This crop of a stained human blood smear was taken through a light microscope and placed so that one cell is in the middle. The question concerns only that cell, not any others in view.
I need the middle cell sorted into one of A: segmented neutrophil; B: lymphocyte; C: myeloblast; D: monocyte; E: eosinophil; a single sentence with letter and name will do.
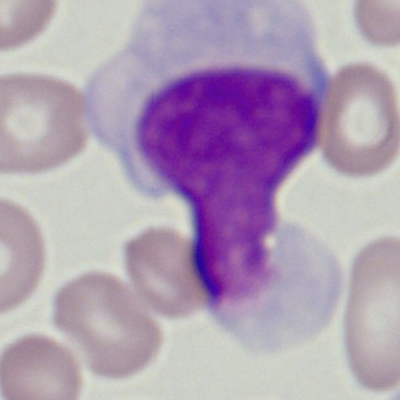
The centrally positioned cell is a monocyte, consistent with option D, which is correct.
